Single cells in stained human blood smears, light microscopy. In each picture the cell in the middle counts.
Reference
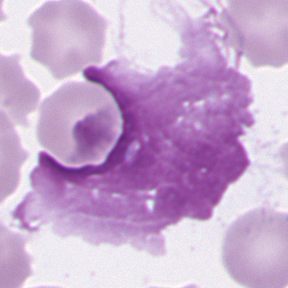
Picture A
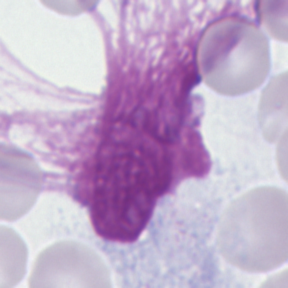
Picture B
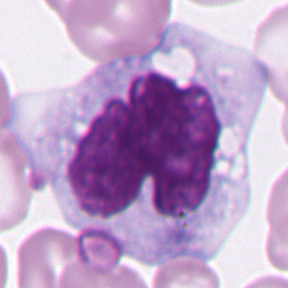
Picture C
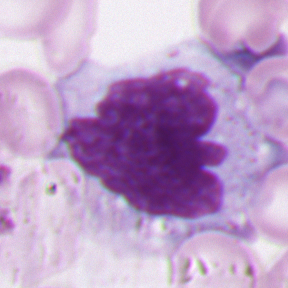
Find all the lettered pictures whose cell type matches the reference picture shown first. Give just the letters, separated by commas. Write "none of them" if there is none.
A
